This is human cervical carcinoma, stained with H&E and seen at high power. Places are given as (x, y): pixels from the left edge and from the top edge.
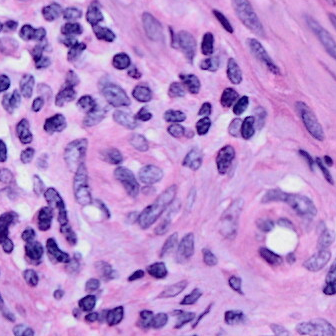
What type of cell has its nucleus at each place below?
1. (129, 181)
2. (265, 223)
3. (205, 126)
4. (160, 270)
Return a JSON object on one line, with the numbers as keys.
{"1": "endothelial cell", "2": "endothelial cell", "3": "lymphocyte", "4": "lymphocyte"}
